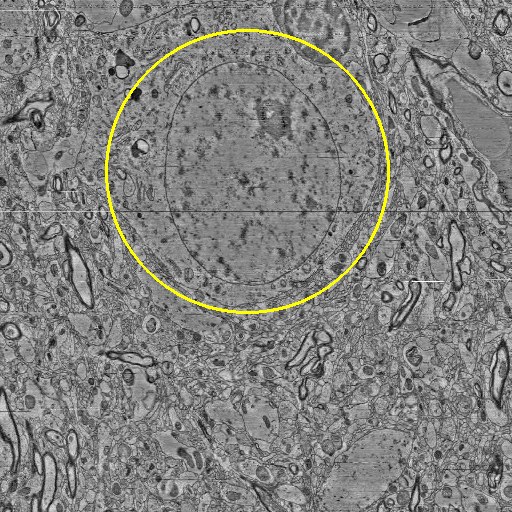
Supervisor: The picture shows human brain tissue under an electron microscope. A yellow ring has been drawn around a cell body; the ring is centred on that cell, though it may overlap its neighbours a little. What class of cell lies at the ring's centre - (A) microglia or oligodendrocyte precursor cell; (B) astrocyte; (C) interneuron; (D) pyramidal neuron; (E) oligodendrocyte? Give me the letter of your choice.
D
